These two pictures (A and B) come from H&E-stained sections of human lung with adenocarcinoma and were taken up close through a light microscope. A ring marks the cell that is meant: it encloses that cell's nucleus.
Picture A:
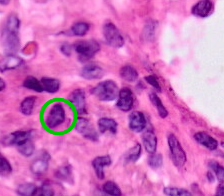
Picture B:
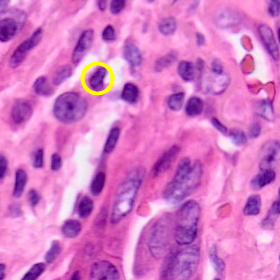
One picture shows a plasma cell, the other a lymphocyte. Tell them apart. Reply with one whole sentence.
It is picture A that shows a plasma cell, and picture B that shows a lymphocyte.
